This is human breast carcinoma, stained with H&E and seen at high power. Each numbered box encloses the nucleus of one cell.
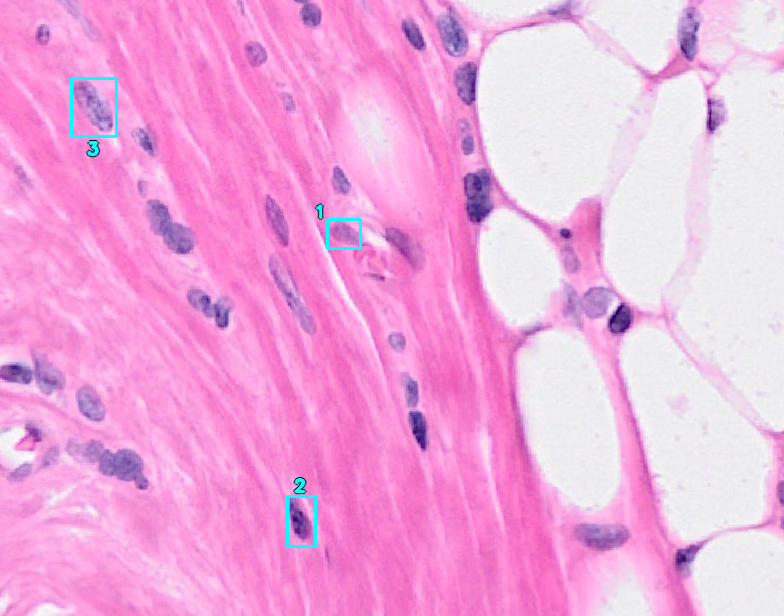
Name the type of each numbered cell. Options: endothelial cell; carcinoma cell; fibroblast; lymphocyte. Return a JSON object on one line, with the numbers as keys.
{"1": "endothelial cell", "2": "lymphocyte", "3": "fibroblast"}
